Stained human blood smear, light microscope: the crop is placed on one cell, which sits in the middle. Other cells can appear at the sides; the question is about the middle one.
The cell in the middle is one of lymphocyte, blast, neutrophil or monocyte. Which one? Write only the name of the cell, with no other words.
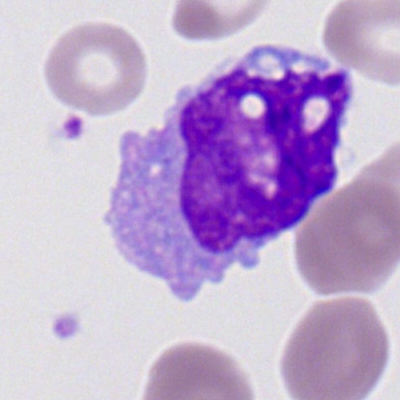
monocyte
